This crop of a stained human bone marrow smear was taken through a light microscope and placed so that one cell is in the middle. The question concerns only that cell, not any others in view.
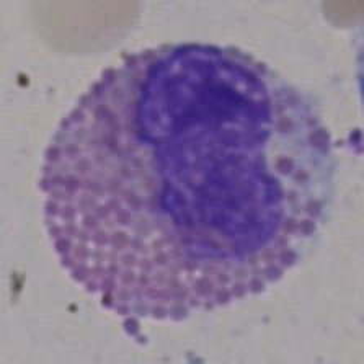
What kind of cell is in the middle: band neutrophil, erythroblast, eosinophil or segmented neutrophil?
eosinophil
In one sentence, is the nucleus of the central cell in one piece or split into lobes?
A single compact nucleus, round, oval or kidney-shaped, is what this cell shows.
